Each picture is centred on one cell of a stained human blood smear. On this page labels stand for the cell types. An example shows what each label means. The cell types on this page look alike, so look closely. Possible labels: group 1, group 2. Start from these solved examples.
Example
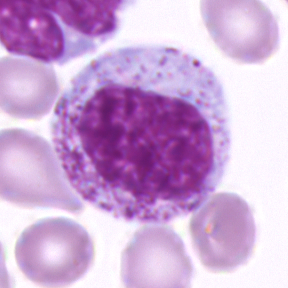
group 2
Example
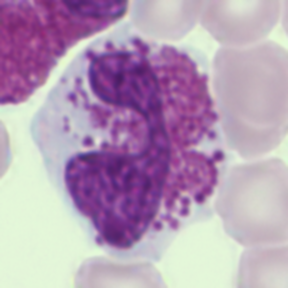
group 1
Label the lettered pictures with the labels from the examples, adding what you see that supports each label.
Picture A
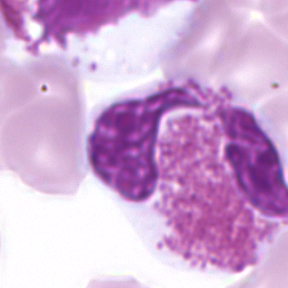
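group 1: The nucleus has two lobes, one on the left side of the cell and one on the right.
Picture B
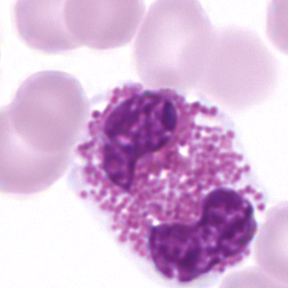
group 1: The nucleus appears as two large dark purple masses, one at the upper left of the cell and one at the lower right.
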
